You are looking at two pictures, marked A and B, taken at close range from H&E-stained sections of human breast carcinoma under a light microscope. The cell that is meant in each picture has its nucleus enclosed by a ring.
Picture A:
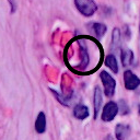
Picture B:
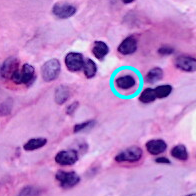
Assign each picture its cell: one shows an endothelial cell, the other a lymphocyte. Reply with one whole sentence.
The cell in picture A is an endothelial cell, and the one in picture B is a lymphocyte.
